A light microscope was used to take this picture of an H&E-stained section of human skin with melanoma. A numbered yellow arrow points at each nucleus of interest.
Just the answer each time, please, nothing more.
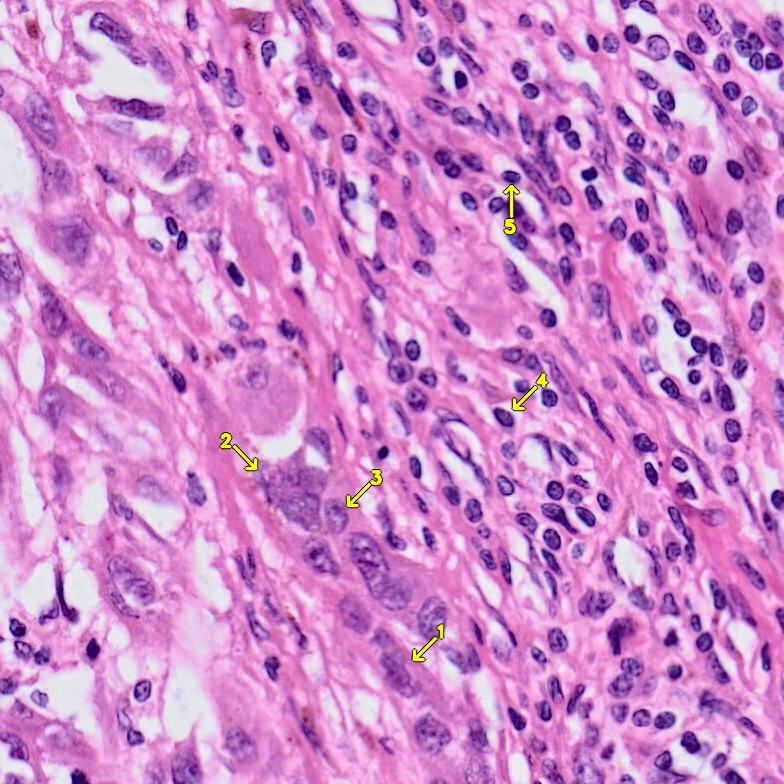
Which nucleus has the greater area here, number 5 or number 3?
3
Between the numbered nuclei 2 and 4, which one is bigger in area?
2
